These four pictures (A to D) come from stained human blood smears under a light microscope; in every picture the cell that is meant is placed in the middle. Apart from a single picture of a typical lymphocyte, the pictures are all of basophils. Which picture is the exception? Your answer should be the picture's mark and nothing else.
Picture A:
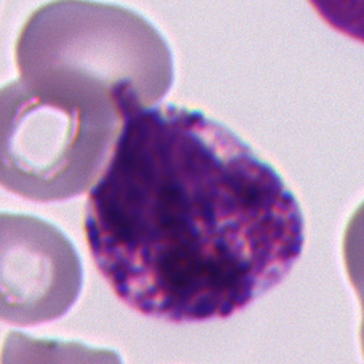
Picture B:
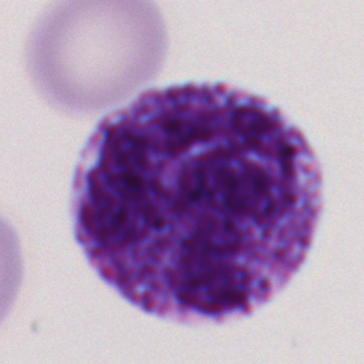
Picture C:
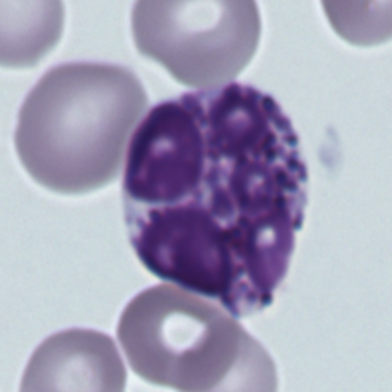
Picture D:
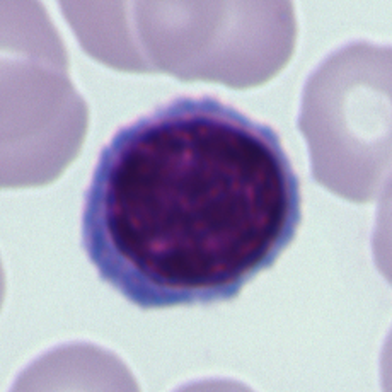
D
